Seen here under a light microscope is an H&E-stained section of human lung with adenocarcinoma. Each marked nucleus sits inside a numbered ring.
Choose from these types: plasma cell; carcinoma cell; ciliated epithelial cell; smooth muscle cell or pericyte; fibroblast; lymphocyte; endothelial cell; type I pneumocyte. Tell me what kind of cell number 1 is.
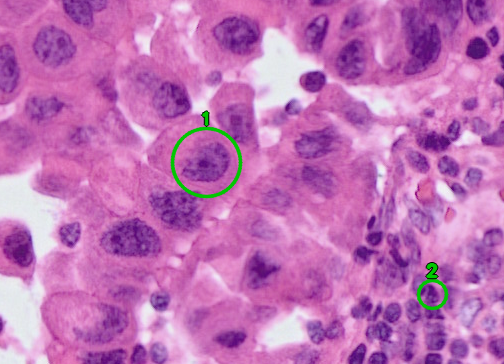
carcinoma cell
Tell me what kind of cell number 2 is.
lymphocyte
